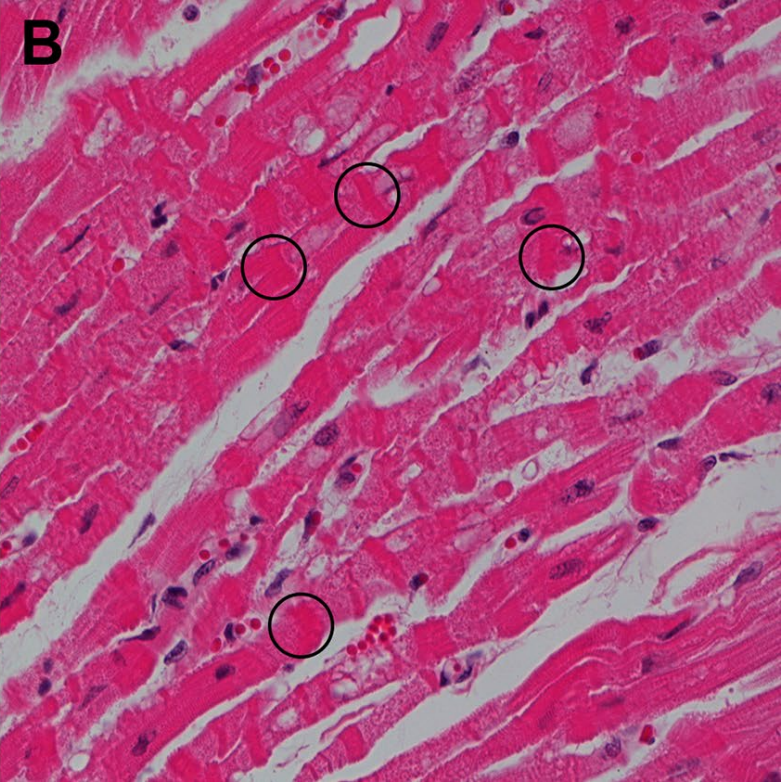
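This is heart muscle, cut along its length, with the fibres running diagonally in parallel rows. The fibres are deep pink and have oval central nuclei. Narrow pale clefts separate the fibres, and red blood cells lie in the small spaces between them. Many fibres are broken up by thick, dense, intensely pink bands that run across the fibre. Between these bands, the cytoplasm looks paler and granular, or clumped.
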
